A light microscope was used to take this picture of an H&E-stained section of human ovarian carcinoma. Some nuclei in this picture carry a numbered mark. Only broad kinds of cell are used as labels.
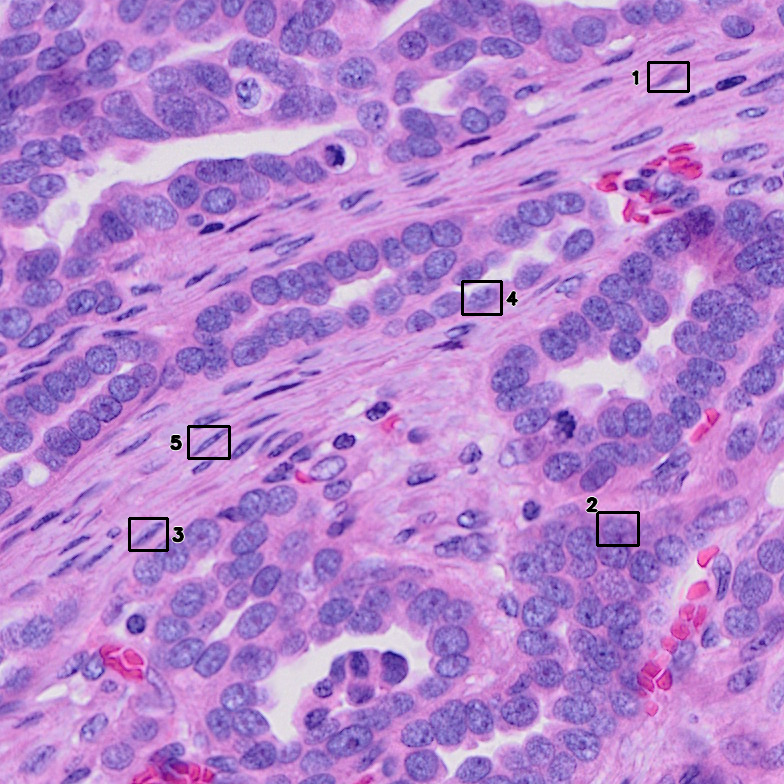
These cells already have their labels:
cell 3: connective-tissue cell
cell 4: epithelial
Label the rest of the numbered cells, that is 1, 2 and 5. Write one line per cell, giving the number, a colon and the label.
1: connective-tissue cell
2: epithelial
5: connective-tissue cell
